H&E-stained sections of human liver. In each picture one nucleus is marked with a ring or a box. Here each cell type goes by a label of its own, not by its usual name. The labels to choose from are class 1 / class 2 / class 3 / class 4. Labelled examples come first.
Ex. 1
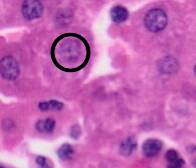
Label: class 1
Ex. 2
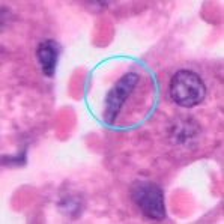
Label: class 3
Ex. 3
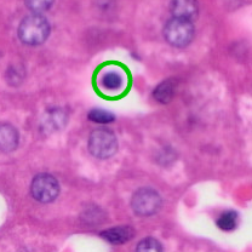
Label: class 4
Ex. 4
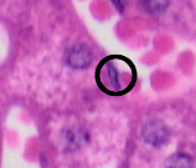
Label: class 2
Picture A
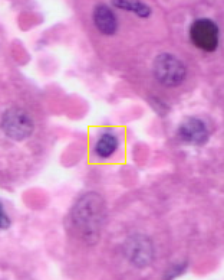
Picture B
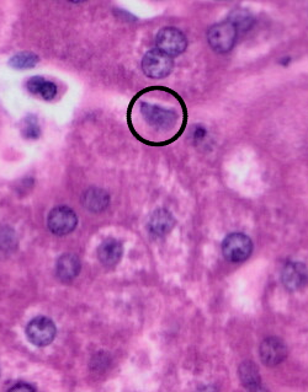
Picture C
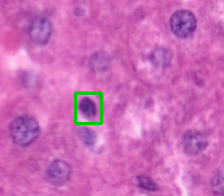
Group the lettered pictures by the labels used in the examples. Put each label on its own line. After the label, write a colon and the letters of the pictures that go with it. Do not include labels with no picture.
class 2: B
class 4: A, C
